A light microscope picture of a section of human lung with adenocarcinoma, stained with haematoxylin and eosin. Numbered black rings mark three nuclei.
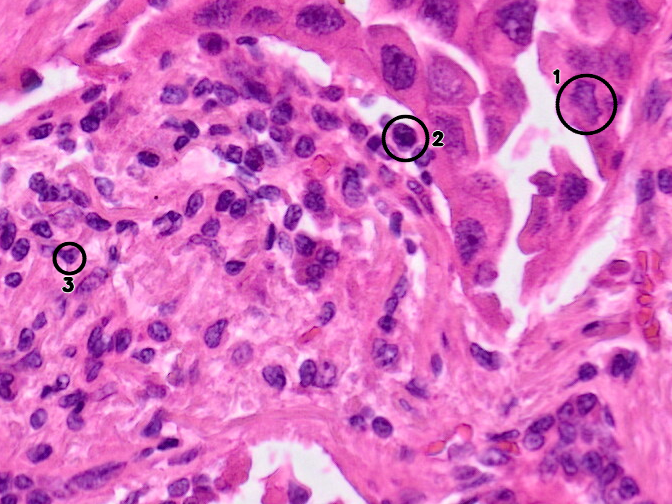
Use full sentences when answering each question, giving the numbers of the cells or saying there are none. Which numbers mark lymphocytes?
The cells carrying labels 2 and 3 are lymphocytes.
